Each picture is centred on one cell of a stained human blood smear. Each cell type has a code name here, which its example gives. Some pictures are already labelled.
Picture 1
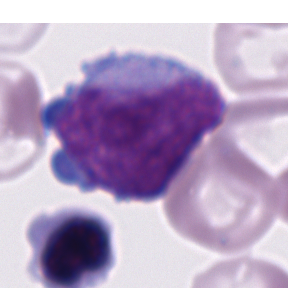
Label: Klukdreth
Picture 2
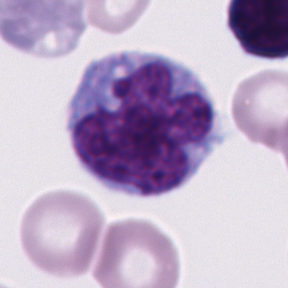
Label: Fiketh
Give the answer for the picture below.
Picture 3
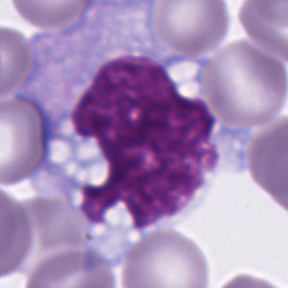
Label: Fiketh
